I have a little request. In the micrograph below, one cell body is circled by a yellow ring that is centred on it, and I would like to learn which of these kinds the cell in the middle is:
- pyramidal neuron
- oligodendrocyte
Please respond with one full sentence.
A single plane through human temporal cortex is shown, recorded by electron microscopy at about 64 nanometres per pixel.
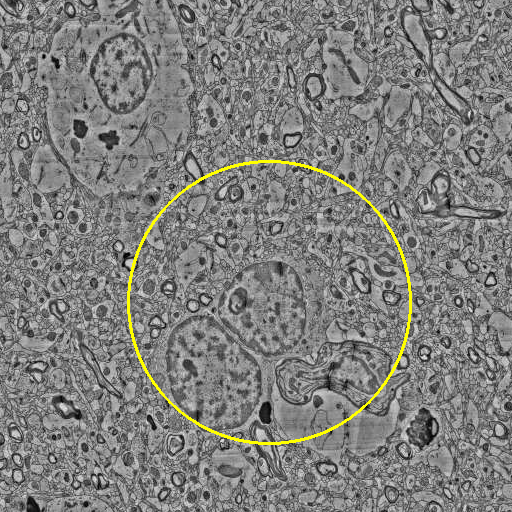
The cell sitting in the middle of the yellow ring in the micrograph is an oligodendrocyte.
